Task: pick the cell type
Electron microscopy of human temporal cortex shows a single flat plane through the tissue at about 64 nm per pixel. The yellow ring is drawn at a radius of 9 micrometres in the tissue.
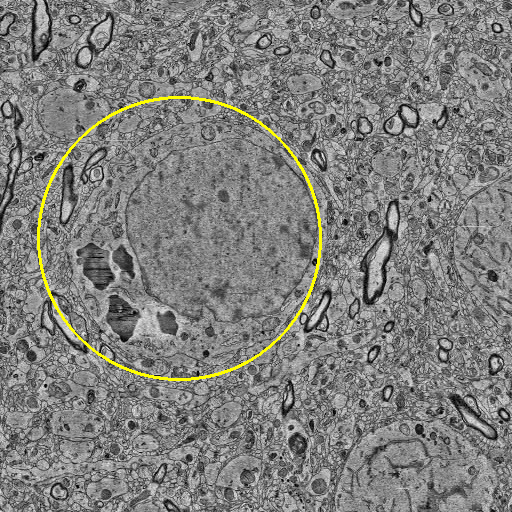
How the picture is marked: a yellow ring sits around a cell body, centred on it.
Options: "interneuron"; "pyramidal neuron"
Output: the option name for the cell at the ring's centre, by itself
interneuron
